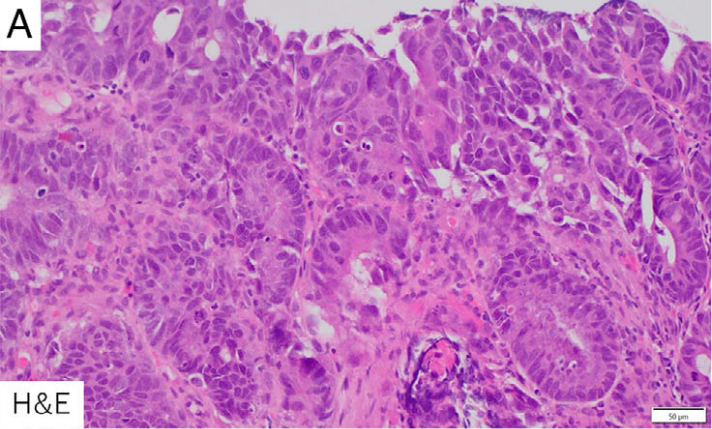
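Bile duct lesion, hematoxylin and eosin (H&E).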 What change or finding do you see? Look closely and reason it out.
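Tubular adenocarcinoma. Crowded atypical epithelial cells form tubular glands with small lumina. Nuclei are enlarged, hyperchromatic and stratified.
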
